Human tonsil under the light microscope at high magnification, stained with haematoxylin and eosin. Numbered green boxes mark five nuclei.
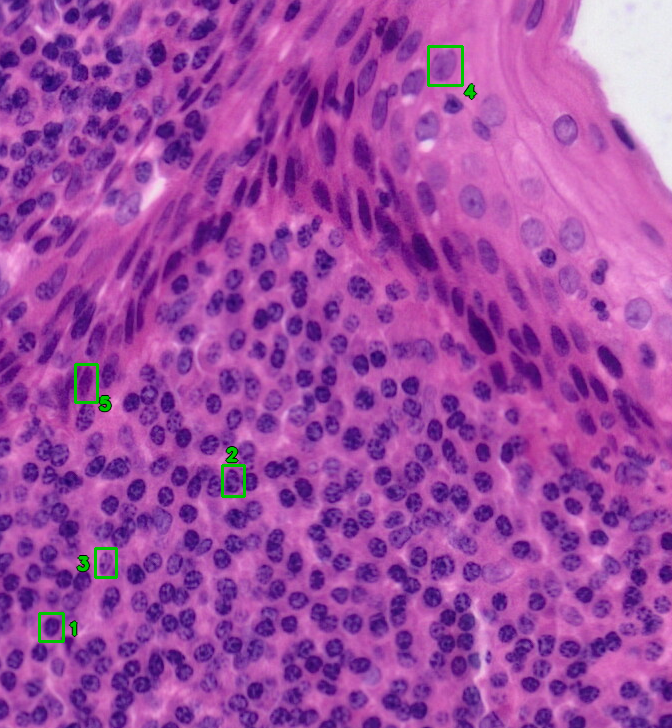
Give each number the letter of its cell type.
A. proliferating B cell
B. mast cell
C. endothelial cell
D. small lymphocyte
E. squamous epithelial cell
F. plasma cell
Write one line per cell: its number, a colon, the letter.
1: F
2: F
3: F
4: E
5: E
